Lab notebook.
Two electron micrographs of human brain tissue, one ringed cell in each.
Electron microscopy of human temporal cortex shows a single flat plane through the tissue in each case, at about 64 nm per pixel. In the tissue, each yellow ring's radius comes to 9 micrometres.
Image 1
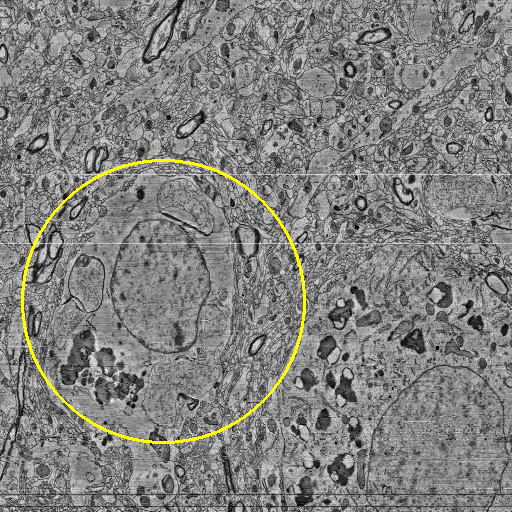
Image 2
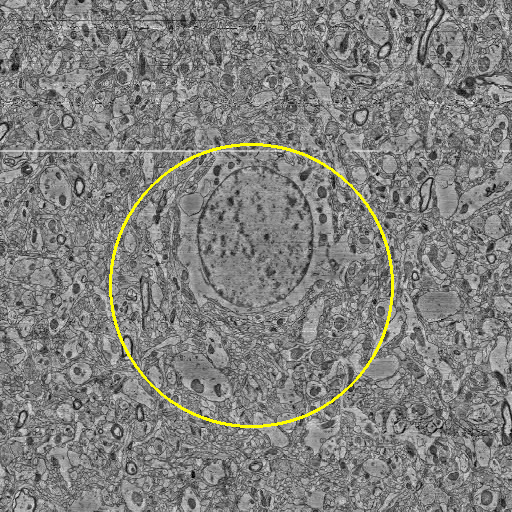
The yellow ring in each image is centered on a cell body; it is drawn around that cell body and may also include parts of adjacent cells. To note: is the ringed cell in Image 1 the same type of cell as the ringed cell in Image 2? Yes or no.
yes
